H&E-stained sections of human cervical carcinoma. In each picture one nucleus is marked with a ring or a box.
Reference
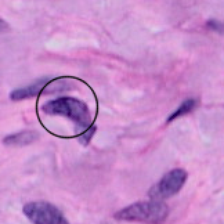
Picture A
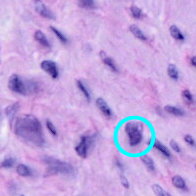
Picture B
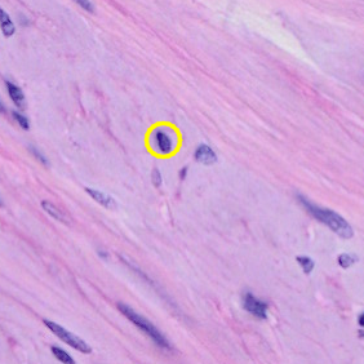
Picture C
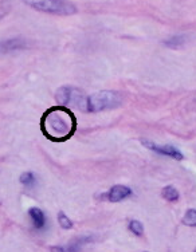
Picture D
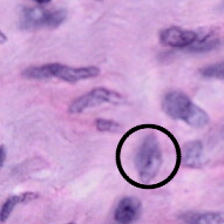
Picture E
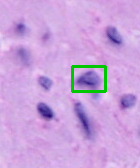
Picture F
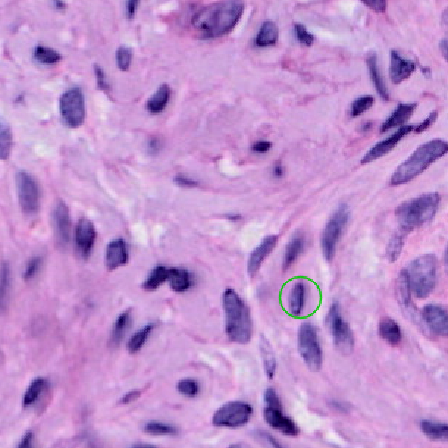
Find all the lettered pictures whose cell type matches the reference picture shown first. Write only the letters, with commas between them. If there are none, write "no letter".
A, B, D, E, F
